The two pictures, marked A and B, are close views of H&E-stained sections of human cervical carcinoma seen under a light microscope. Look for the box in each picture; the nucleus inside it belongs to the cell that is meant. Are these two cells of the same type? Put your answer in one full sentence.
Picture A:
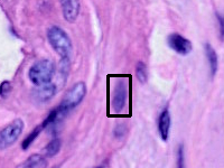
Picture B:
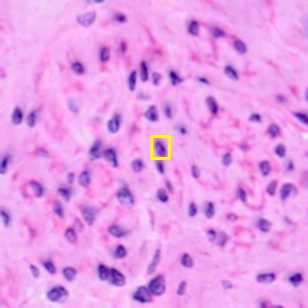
Yes, the two pictures both show smooth muscle cells.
